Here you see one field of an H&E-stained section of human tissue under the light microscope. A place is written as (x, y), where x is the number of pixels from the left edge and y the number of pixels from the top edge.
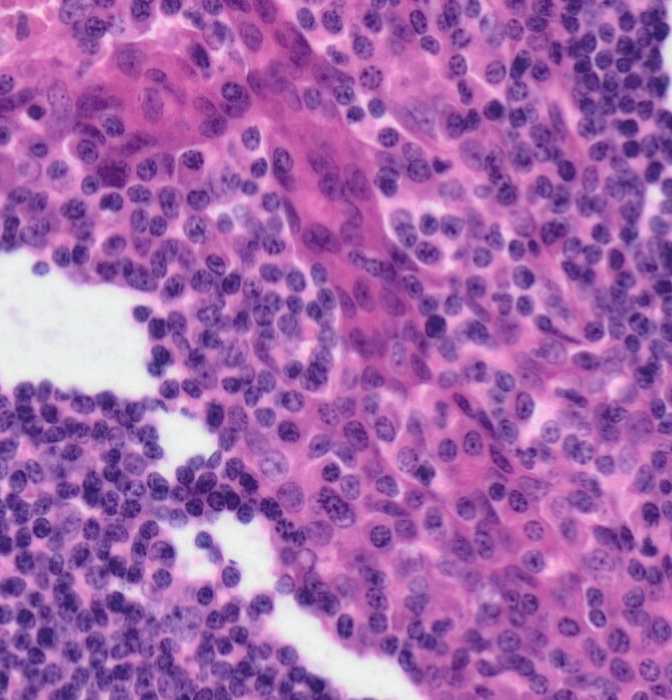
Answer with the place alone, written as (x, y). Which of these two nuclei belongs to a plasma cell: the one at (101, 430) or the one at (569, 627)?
(569, 627)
